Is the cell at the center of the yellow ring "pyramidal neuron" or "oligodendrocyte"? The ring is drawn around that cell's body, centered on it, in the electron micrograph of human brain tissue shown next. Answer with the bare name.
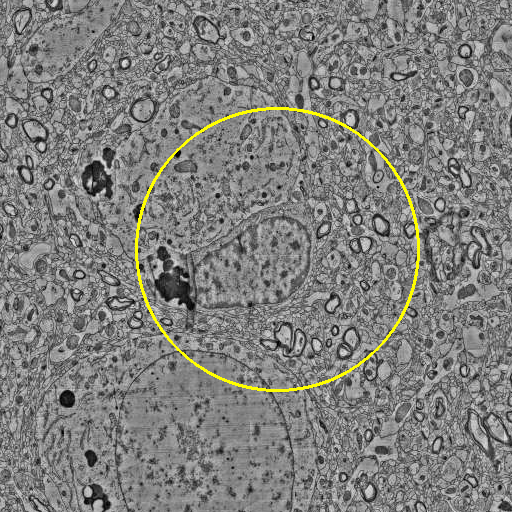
oligodendrocyte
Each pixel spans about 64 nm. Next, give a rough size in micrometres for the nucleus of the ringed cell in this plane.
Approximately 8 by 5 micrometers in this plane.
